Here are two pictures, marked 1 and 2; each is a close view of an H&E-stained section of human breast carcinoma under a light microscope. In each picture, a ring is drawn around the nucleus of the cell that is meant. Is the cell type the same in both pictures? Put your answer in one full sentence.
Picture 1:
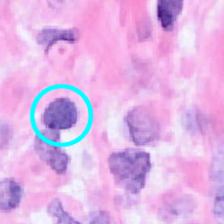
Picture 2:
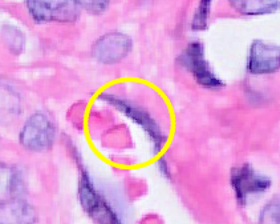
No, the types are not the same, since picture 1 shows a carcinoma cell and picture 2 an endothelial cell.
